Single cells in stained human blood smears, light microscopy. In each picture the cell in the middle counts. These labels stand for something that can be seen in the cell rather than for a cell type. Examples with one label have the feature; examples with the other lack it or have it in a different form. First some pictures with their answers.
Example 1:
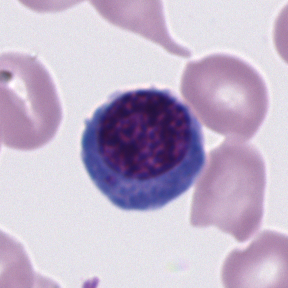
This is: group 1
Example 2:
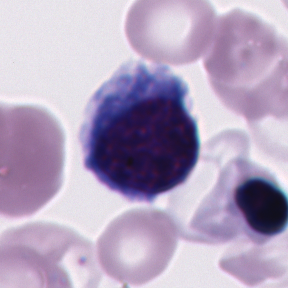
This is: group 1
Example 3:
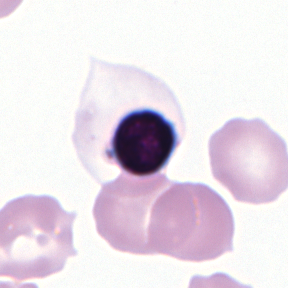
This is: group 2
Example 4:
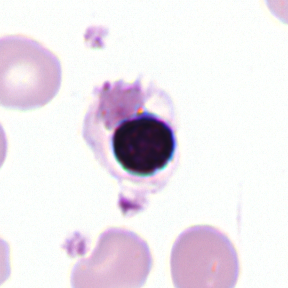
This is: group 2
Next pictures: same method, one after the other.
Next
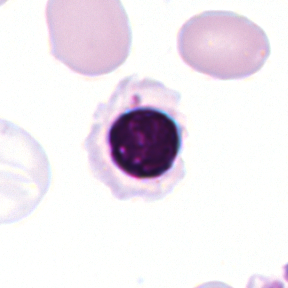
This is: group 2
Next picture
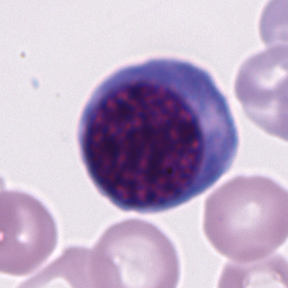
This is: group 1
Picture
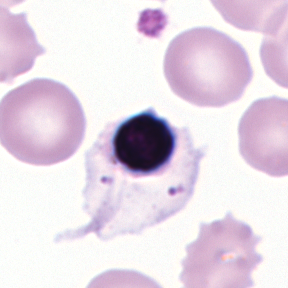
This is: group 2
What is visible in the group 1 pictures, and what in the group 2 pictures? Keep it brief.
group 1, deep or dark blue cytoplasm; group 2, pink or nearly colourless cytoplasm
